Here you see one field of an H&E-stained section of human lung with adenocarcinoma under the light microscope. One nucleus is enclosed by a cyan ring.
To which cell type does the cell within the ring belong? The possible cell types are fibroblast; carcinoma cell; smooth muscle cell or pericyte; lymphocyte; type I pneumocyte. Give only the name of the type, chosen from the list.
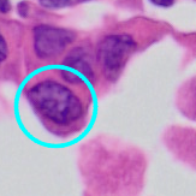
carcinoma cell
